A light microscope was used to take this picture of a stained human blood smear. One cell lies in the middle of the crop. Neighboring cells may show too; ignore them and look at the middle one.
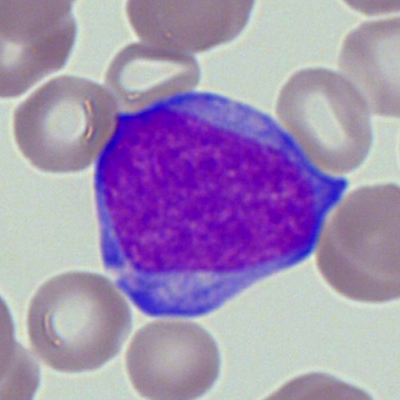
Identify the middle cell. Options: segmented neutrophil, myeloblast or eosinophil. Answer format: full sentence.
The cell under consideration, at the middle of the crop, is a myeloblast.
